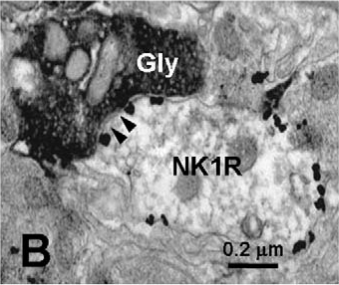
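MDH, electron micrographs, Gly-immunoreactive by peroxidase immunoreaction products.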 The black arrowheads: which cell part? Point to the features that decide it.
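The arrowheads point at the contact between a dark terminal and a pale profile.
Hence: symmetric post-synaptic dense substance.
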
